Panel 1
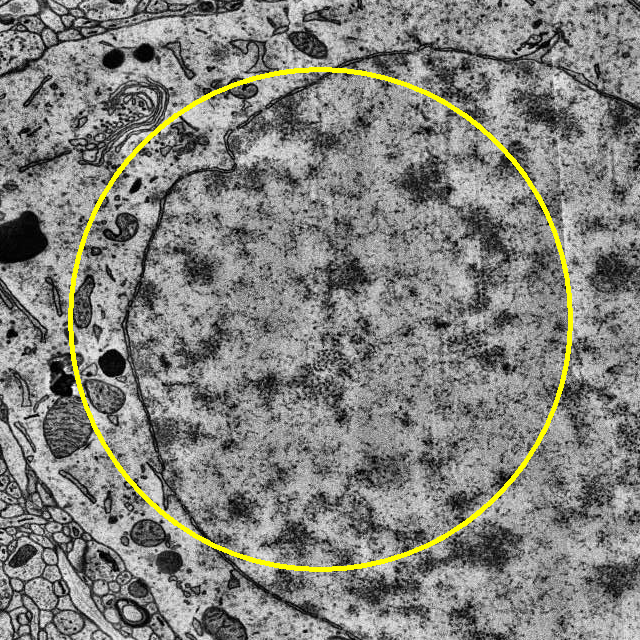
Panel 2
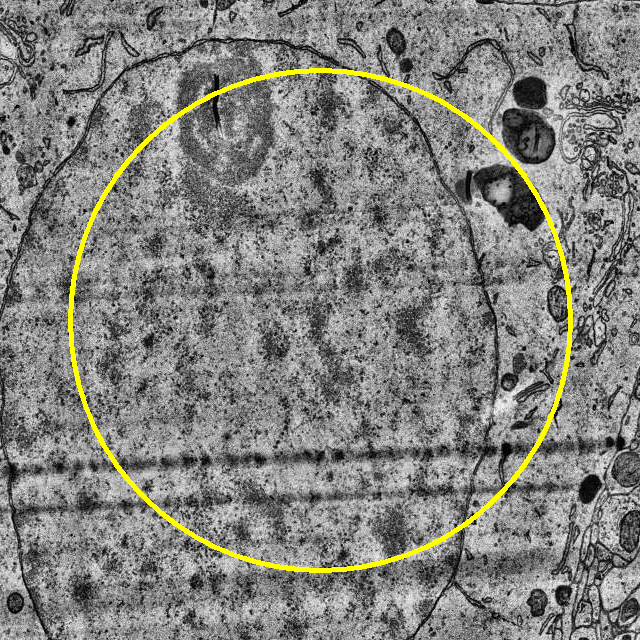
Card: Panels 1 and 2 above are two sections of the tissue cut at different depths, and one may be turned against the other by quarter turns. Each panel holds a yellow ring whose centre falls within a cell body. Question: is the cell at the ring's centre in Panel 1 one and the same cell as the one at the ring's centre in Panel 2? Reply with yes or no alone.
no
